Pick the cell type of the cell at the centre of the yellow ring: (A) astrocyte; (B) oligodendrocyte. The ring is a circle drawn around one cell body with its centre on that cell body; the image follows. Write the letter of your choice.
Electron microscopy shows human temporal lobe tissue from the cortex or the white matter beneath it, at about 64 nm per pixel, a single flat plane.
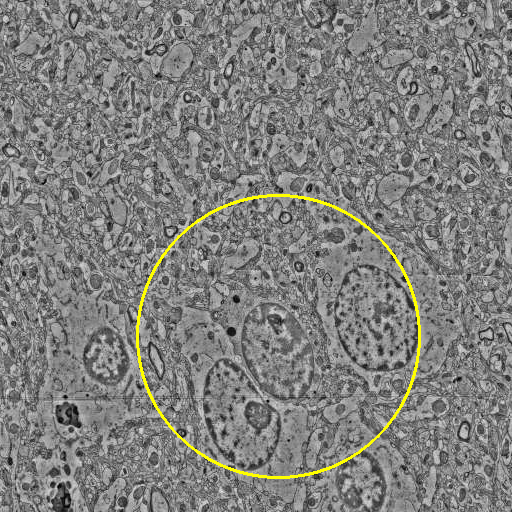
B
